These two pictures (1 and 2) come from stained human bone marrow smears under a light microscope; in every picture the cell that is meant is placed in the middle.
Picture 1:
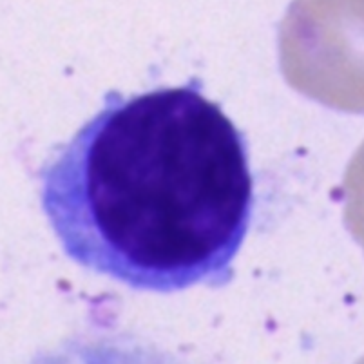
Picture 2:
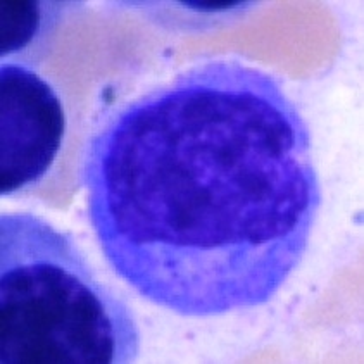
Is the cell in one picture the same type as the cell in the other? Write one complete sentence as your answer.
No. Picture 1 shows a lymphocyte, but picture 2 shows a monocyte.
